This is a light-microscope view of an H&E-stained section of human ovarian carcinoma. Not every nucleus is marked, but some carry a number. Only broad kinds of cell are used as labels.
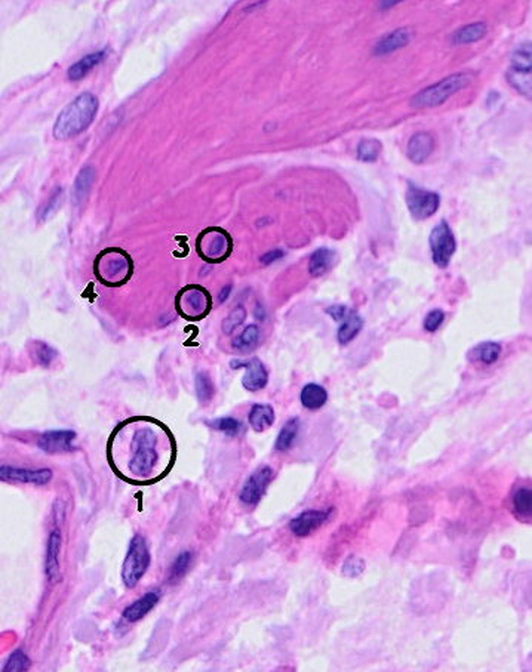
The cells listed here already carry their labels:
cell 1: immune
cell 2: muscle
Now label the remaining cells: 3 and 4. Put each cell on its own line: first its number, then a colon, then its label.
3: muscle
4: muscle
